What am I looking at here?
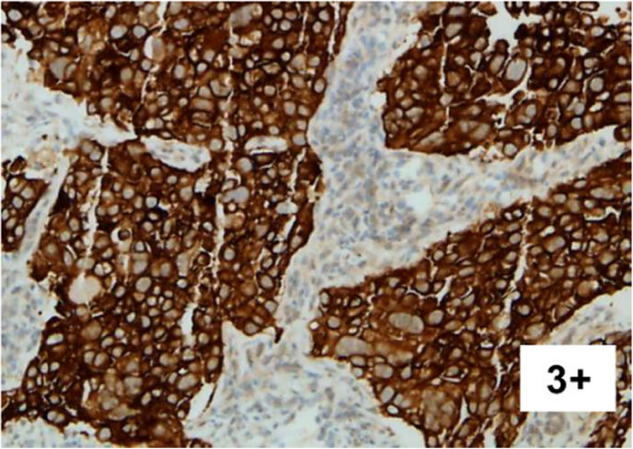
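Large solid nests of closely packed polygonal epithelial cells are separated by strands of pale stroma with blue spindle-shaped nuclei. The epithelial cells are stained dark brown through their cytoplasm and along their borders, while their round nuclei remain pale blue. The stroma between the nests is largely unstained.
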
